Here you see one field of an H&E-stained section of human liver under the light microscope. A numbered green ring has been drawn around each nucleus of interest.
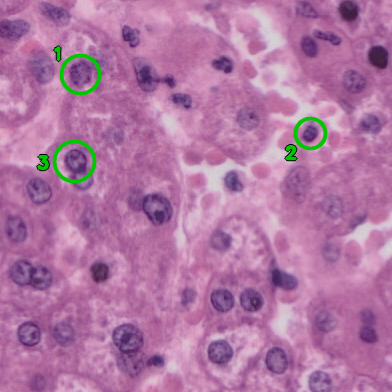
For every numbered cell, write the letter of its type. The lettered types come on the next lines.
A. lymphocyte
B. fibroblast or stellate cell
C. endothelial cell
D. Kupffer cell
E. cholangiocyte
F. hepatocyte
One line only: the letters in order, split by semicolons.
F; A; F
